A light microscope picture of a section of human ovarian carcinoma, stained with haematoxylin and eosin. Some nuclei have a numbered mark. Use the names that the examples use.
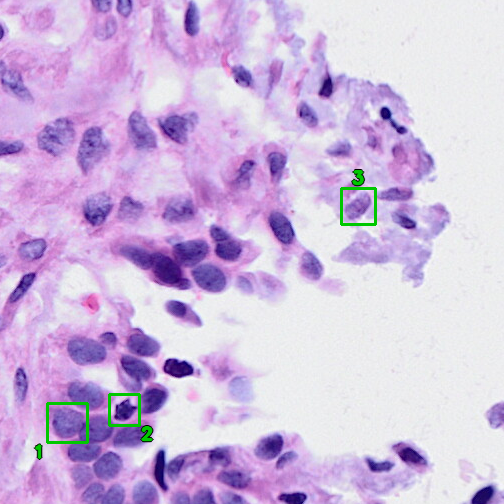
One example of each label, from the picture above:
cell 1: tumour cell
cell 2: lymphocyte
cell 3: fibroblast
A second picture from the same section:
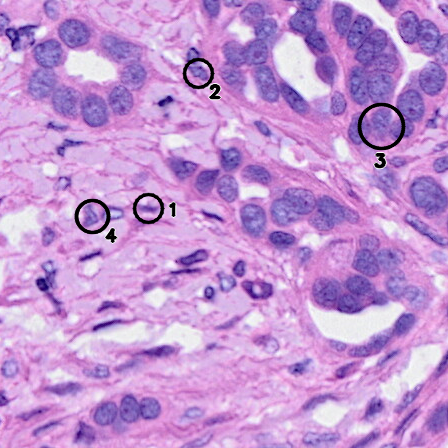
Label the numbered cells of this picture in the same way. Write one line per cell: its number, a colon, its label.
1: fibroblast
2: fibroblast
3: tumour cell
4: fibroblast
